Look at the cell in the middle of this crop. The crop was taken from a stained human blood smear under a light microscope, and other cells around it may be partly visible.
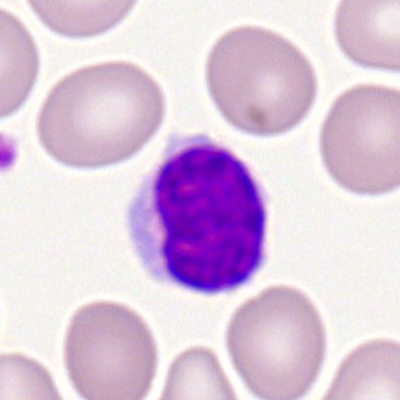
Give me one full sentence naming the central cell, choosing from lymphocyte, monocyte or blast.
The centrally located cell in the crop is a lymphocyte.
